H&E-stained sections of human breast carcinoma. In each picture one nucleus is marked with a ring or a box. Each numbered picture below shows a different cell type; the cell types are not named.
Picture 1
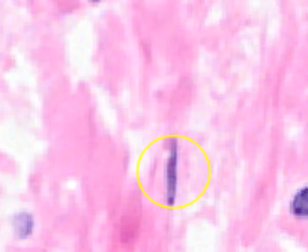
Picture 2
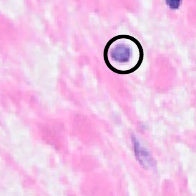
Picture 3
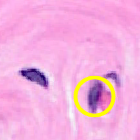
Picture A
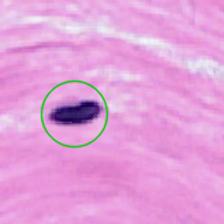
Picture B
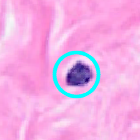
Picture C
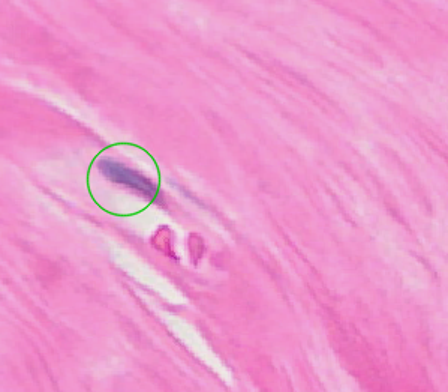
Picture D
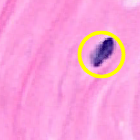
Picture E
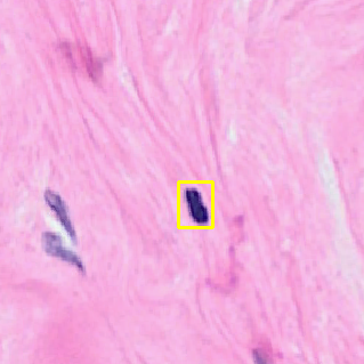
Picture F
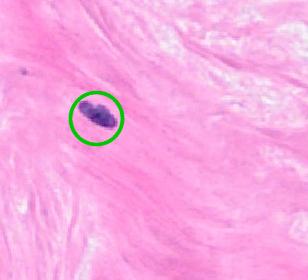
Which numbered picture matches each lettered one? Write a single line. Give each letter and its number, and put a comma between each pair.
A 2, B 2, C 3, D 2, E 2, F 2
